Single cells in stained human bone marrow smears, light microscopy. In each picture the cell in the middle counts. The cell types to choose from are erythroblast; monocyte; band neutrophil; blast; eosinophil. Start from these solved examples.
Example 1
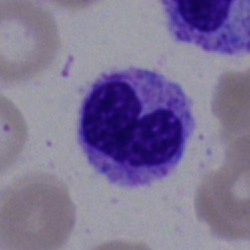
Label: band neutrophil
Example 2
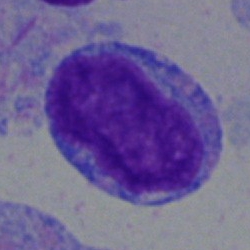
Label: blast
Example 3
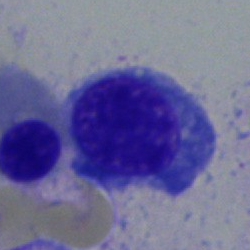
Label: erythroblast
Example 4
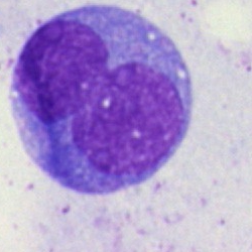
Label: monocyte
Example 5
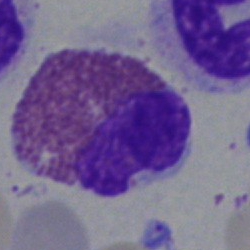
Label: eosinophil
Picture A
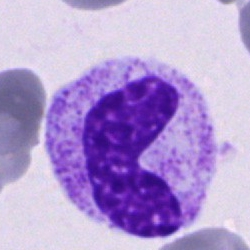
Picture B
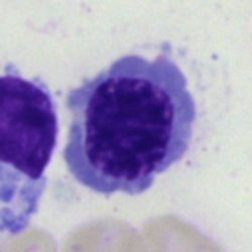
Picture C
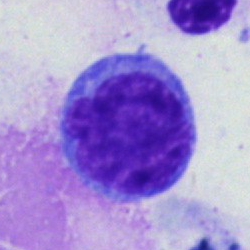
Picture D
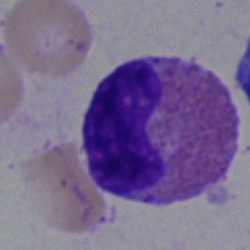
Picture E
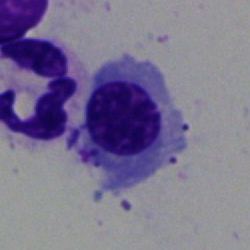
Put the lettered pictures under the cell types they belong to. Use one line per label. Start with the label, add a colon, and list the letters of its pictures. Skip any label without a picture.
erythroblast: B, E
monocyte: C
band neutrophil: A
eosinophil: D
